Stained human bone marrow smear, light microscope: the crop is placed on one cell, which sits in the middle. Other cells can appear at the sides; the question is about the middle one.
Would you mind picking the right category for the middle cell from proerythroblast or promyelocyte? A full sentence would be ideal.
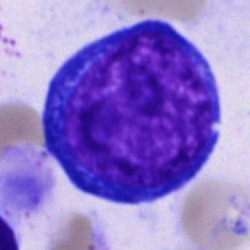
The cell at the central position in this crop is a proerythroblast.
